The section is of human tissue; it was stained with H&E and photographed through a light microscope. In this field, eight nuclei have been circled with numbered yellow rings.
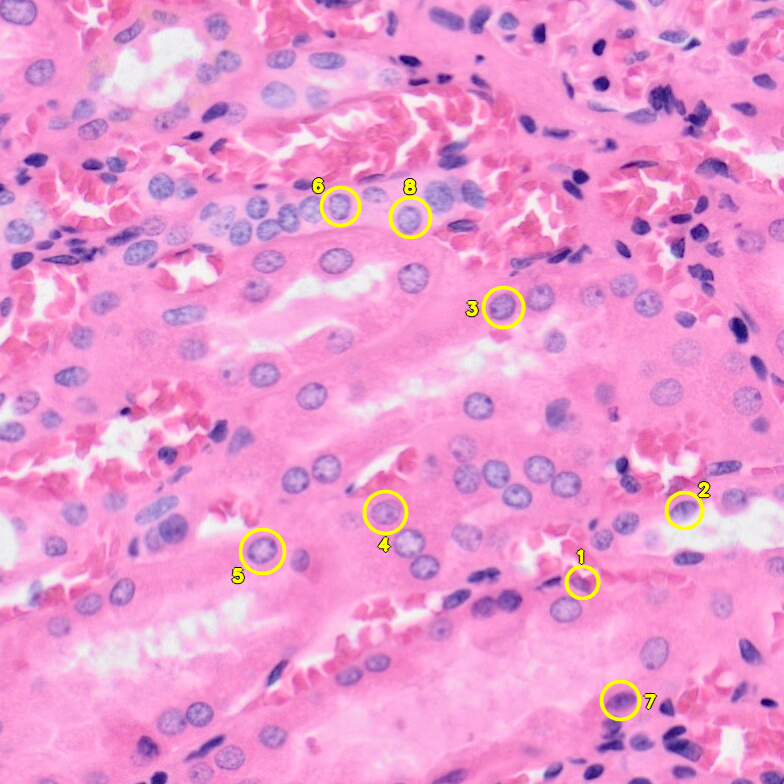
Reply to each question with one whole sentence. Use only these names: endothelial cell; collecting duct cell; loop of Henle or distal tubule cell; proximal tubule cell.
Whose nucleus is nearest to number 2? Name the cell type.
The cell nearest to number 2 is an endothelial cell.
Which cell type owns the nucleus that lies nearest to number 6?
The nucleus nearest to number 6 is that of a collecting duct cell.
